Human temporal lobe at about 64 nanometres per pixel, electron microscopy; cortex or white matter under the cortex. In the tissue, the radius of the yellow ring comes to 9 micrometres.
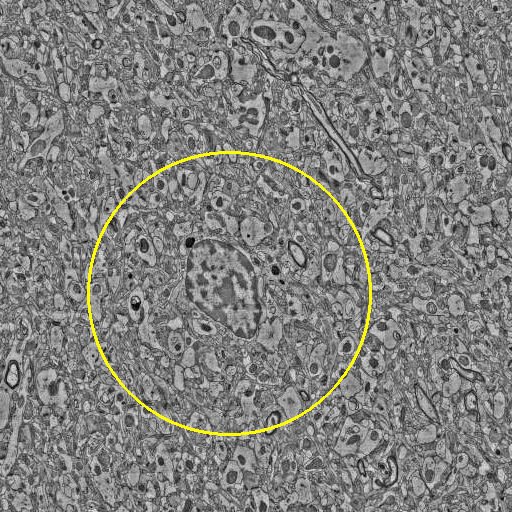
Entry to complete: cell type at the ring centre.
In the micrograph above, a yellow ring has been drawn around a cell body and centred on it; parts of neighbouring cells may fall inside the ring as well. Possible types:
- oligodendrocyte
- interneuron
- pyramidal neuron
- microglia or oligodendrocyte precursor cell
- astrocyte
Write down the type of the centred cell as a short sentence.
The ring is centred on a microglial cell or oligodendrocyte precursor cell.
